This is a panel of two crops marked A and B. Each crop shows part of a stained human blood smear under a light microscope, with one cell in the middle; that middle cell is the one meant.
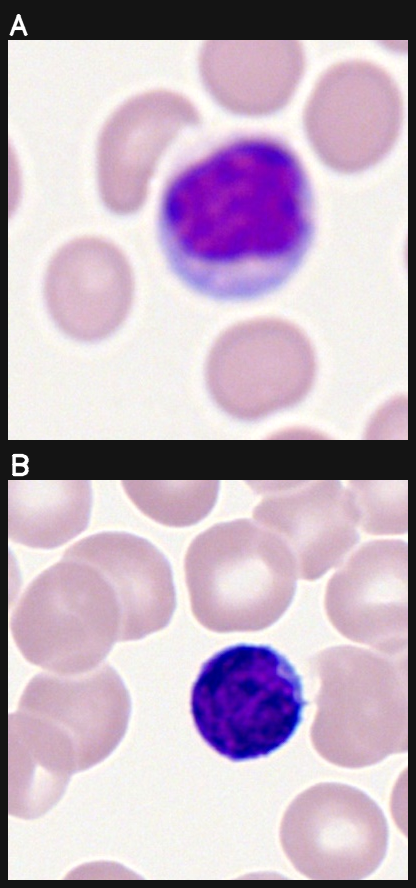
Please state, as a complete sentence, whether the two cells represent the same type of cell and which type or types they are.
Yes, the cells centred in the two crops are both lymphocytes.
